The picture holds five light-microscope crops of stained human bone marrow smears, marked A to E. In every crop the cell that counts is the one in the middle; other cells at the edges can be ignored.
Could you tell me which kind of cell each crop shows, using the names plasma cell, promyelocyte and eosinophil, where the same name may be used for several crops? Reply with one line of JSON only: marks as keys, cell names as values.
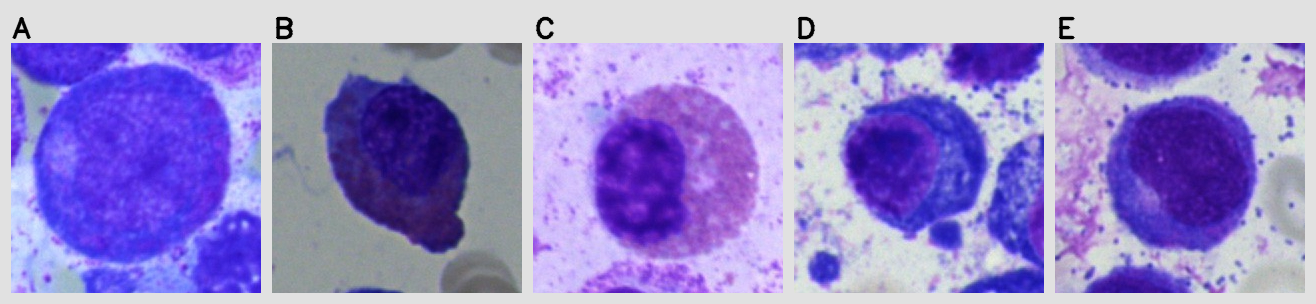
{"A": "promyelocyte", "B": "eosinophil", "C": "eosinophil", "D": "plasma cell", "E": "promyelocyte"}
